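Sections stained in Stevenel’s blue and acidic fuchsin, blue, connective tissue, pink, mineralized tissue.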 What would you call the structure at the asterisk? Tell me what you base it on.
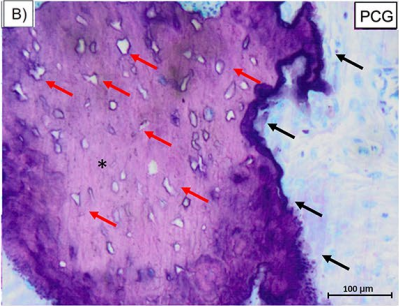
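Bone fragment. The asterisk lies in a pale pink mineralized mass dotted with lacunae. The mass is bordered on the right by pale blue loose tissue.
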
